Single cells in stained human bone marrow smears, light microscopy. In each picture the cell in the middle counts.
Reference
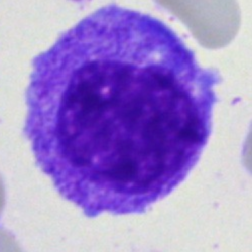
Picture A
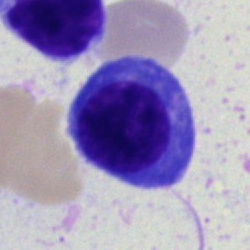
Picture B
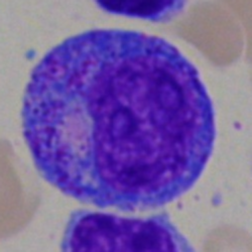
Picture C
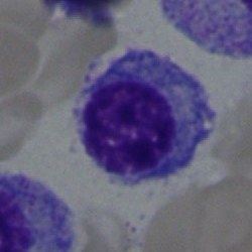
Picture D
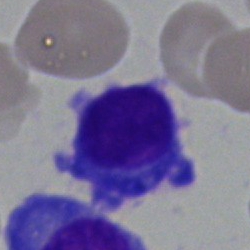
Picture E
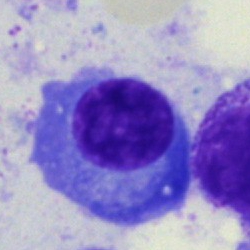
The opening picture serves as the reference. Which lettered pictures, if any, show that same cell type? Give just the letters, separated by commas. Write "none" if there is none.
B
